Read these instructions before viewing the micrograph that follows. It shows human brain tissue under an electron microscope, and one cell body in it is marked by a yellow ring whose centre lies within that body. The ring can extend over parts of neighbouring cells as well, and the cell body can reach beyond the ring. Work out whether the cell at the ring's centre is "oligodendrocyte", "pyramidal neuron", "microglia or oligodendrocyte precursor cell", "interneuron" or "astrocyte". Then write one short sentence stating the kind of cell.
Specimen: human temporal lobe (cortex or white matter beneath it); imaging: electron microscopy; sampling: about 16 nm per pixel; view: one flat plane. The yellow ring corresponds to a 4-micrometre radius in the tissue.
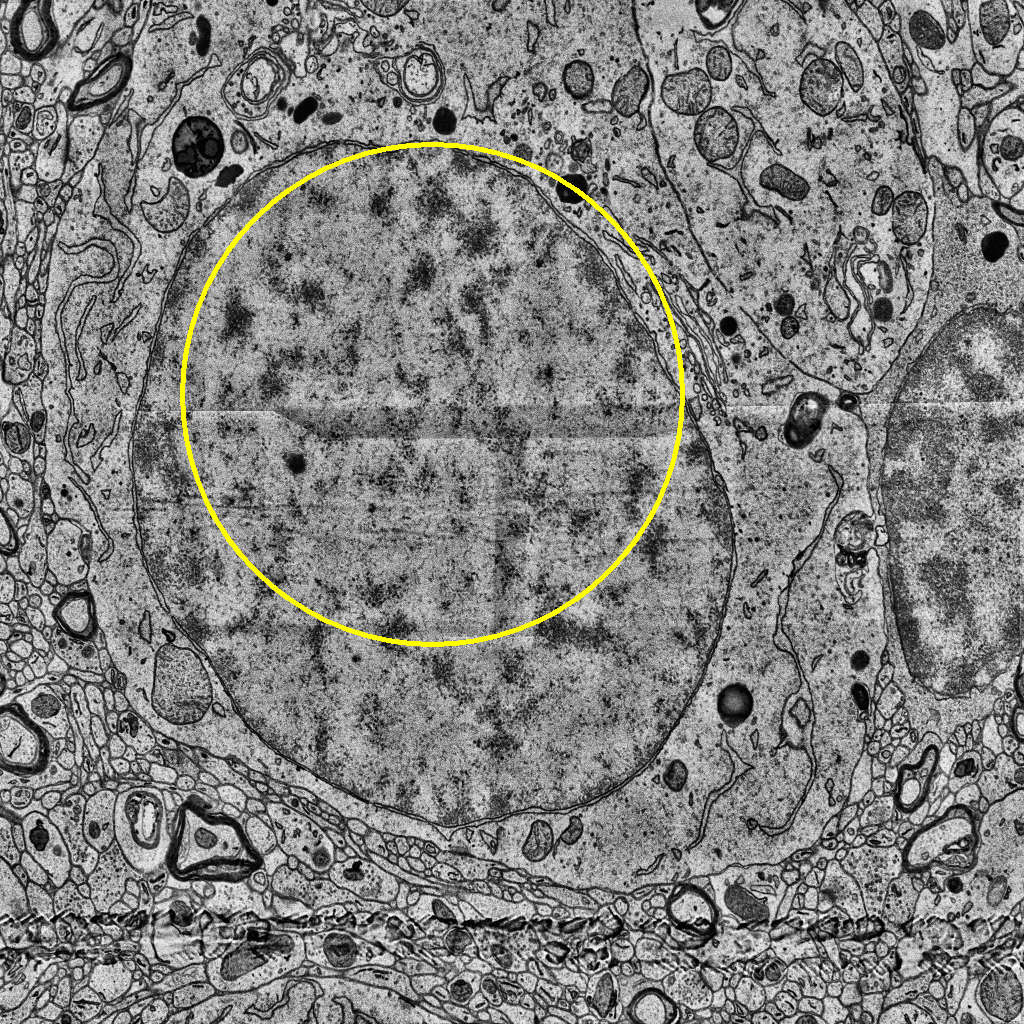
The cell at the ring's centre is an interneuron.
